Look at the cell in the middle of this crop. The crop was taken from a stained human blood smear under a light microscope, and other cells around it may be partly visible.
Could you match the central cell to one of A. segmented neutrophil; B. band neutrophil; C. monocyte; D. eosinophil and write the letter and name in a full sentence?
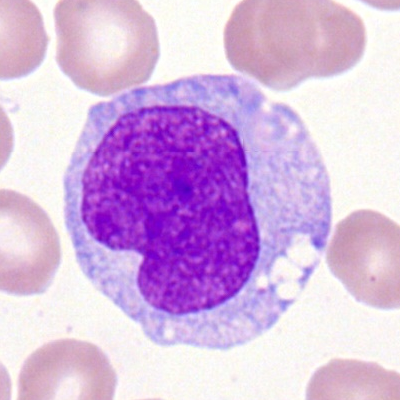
Option C is correct; the cell in the middle is a monocyte.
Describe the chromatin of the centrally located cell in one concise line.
The chromatin is fine, with no coarse clumping anywhere.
